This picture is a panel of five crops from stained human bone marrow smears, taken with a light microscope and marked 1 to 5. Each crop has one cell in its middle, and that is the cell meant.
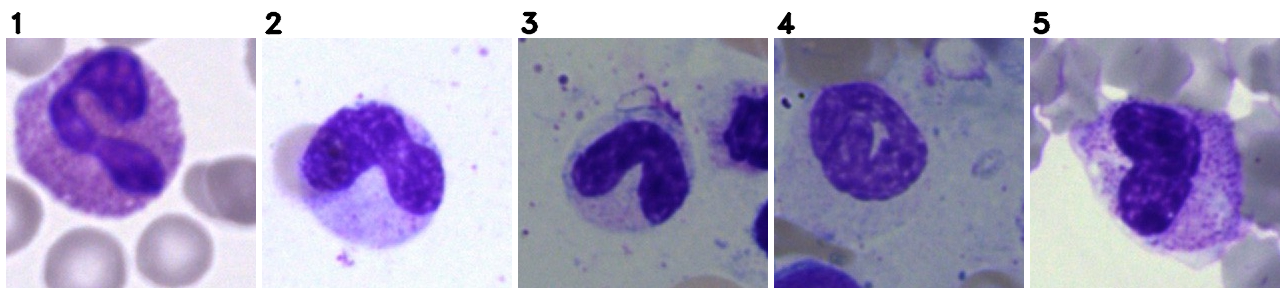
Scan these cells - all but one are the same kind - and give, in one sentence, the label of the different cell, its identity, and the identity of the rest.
The remaining crops are all band neutrophils, so crop 1, being an eosinophil, is the exception.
